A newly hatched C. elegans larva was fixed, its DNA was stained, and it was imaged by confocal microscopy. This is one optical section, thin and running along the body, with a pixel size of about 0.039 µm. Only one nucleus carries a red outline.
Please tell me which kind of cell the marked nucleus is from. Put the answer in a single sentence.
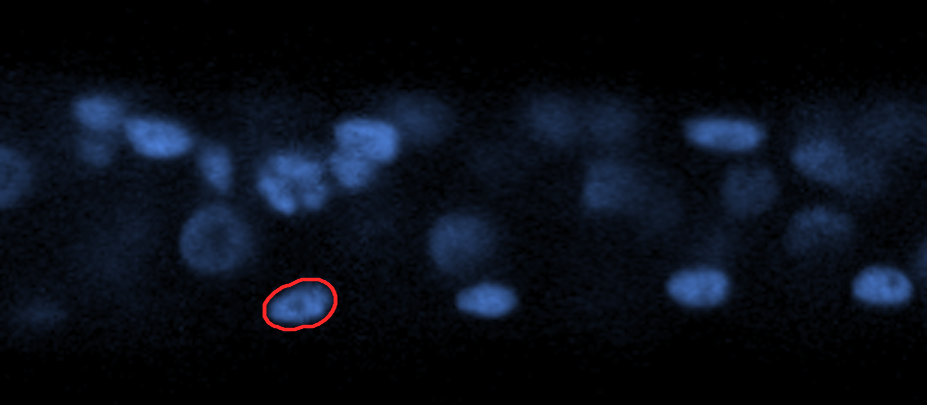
This nucleus is from a body wall muscle cell.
